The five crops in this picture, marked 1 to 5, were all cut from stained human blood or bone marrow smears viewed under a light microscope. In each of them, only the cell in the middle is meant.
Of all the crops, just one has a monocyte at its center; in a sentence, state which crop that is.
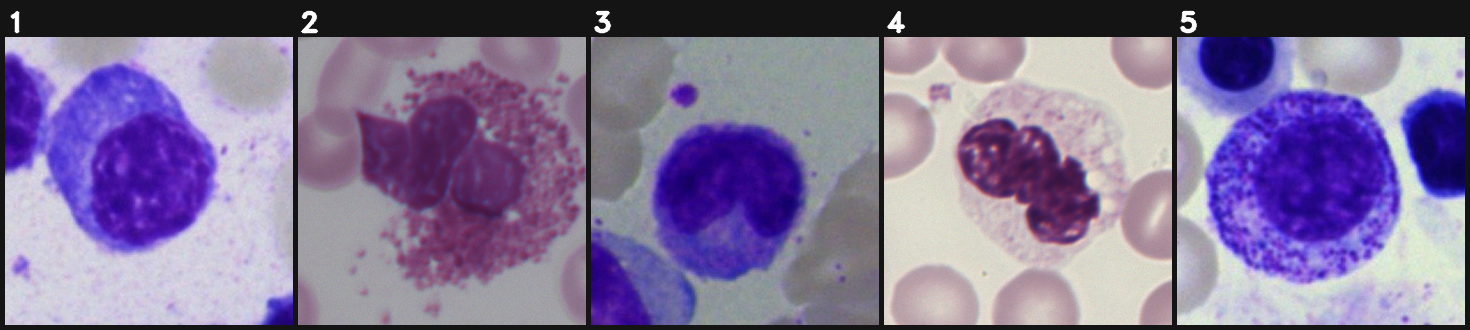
Among the crops, only crop 3 contains a monocyte.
